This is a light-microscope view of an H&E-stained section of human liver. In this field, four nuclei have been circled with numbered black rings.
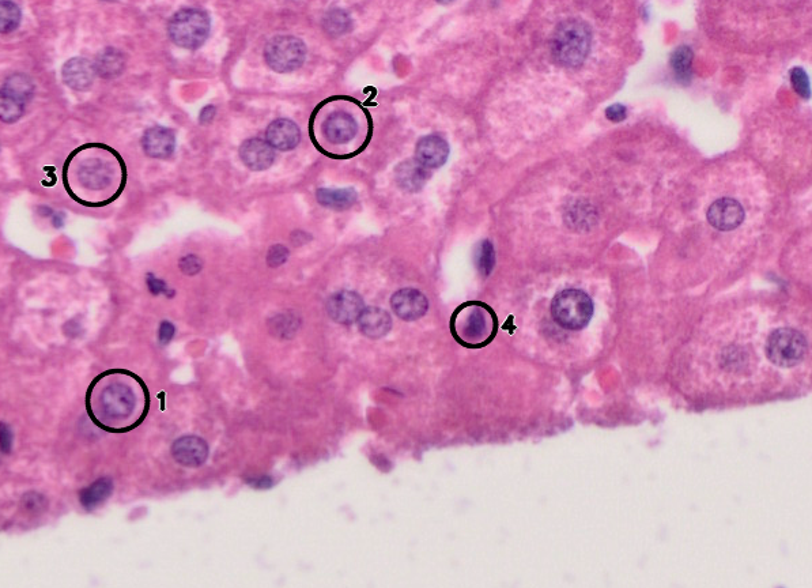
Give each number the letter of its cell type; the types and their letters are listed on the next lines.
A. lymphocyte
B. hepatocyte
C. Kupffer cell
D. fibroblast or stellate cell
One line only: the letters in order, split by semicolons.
B; B; B; D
